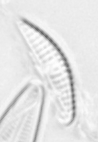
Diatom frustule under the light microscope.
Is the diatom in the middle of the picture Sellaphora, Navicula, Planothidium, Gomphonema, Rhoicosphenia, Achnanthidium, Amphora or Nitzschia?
It is Amphora.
